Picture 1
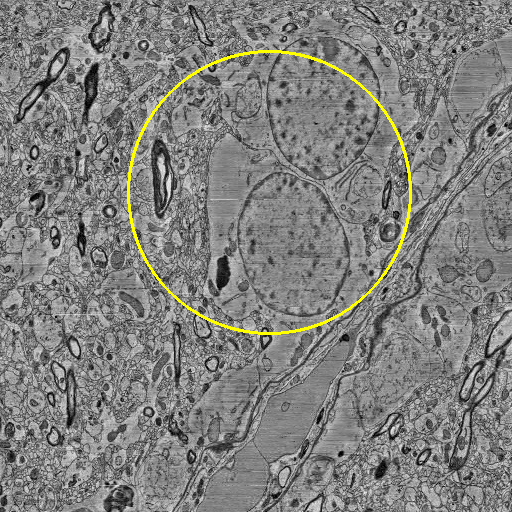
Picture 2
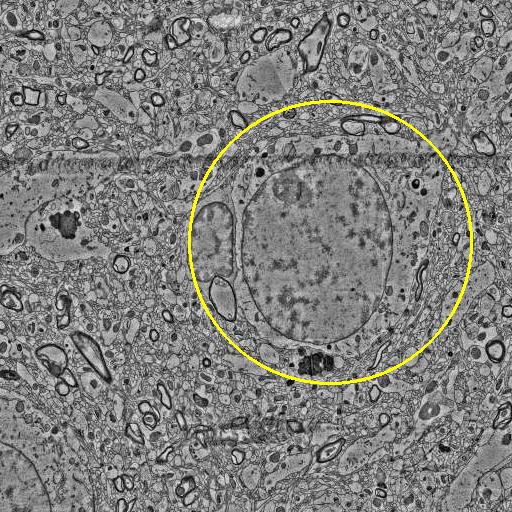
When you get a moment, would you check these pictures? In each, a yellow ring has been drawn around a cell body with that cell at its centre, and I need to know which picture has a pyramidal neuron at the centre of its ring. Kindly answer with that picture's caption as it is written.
Picture 2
